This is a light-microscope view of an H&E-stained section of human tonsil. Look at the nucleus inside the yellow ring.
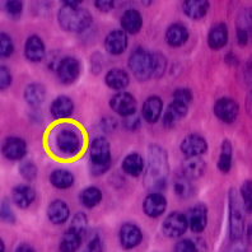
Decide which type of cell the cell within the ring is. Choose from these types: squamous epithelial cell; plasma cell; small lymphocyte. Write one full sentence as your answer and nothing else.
Assigned to a cell type, the cell within the ring is a plasma cell.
